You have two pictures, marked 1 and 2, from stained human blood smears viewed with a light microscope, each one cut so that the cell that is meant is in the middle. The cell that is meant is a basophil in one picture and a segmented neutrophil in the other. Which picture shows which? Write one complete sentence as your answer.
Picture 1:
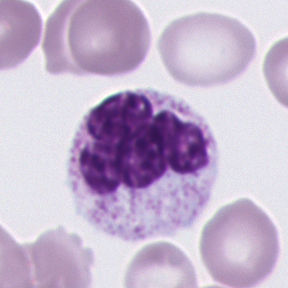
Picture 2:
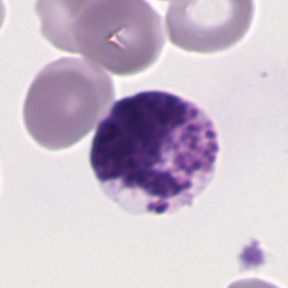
Picture 1 is of a segmented neutrophil, and picture 2 is of a basophil.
